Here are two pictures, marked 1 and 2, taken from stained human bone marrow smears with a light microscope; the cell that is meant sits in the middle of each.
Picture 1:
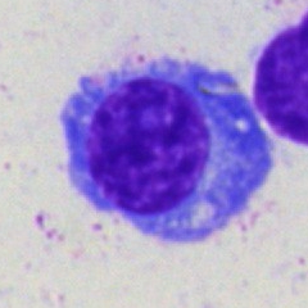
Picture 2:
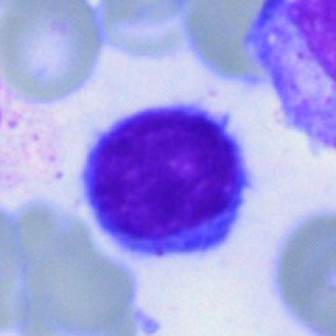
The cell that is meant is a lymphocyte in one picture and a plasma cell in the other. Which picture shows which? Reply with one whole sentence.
In picture 1 the cell is a plasma cell; in picture 2, a lymphocyte.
